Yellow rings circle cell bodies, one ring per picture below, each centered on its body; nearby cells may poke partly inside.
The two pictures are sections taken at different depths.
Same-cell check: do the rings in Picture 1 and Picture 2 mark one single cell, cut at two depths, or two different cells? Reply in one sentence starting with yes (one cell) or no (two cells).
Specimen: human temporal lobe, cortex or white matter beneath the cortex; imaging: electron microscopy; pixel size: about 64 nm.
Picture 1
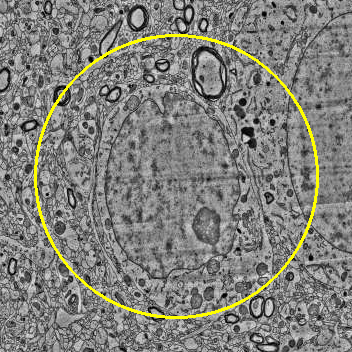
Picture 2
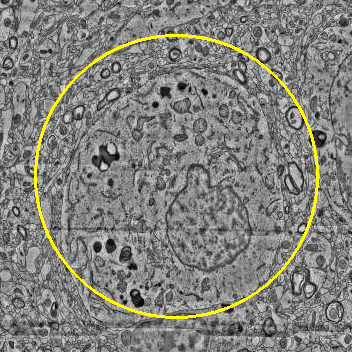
No, the rings surround different cells rather than one cell.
